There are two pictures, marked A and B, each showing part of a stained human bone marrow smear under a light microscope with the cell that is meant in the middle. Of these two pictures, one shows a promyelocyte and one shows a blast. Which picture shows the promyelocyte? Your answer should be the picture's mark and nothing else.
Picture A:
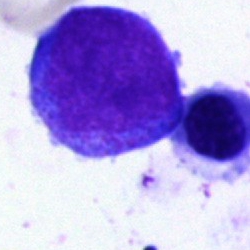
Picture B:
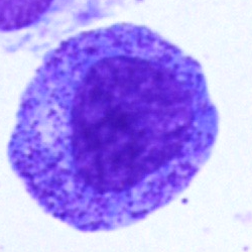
B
